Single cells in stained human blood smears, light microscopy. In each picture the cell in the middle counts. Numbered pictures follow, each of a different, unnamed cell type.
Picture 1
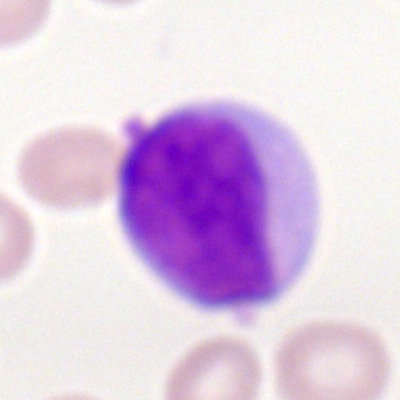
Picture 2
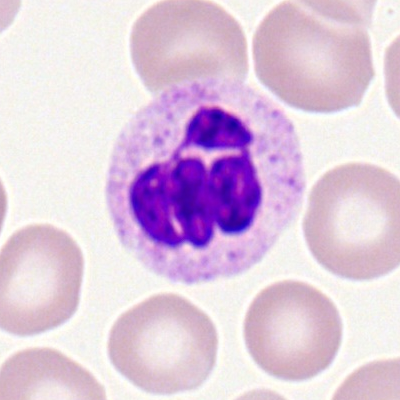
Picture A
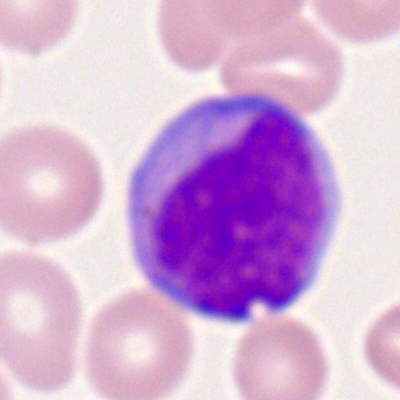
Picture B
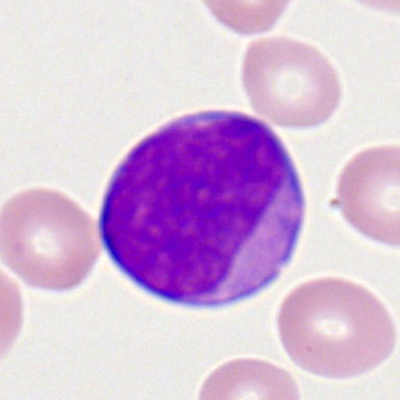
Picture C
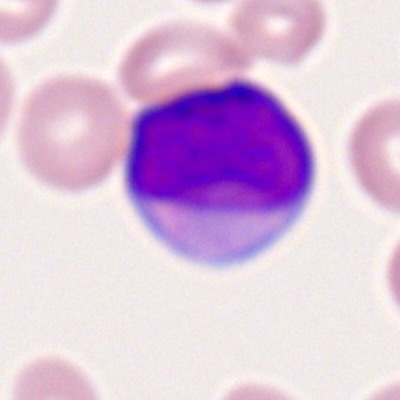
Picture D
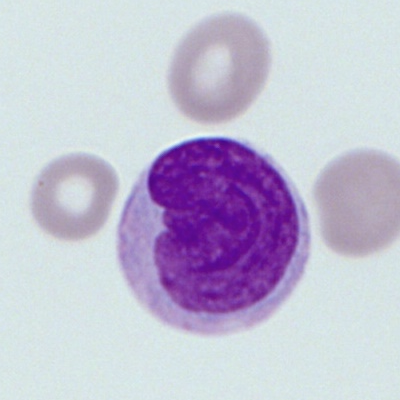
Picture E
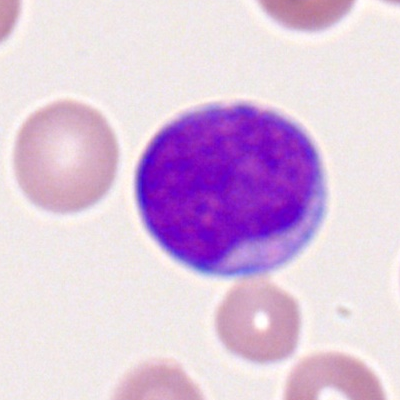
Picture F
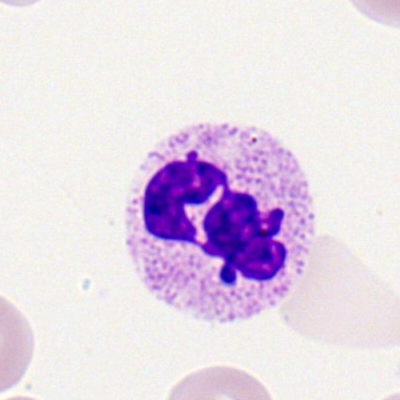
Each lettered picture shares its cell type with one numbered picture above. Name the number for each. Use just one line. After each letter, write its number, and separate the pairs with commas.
A 1, B 1, C 1, D 1, E 1, F 2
